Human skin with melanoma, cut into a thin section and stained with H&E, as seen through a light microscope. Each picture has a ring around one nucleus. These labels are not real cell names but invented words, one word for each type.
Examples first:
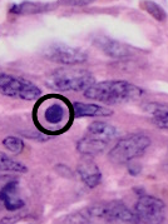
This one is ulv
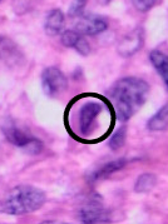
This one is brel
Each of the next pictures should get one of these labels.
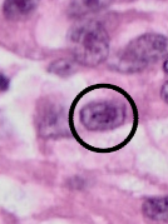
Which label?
brel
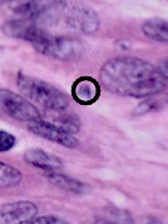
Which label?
ulv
